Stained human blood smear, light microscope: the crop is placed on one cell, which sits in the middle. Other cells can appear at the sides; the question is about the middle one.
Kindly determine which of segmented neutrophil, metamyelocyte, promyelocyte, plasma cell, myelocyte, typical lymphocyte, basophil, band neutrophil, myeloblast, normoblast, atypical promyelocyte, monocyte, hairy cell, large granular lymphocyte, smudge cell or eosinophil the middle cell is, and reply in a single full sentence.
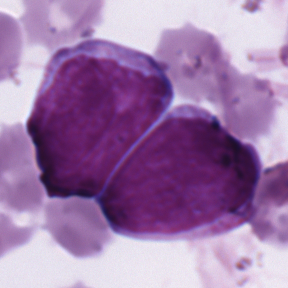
Here the cell in the middle is a myeloblast.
